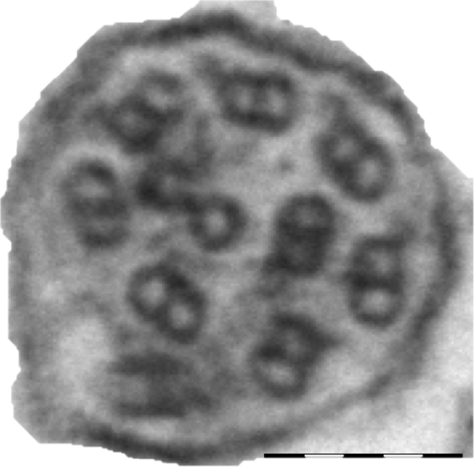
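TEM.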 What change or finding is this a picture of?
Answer: Microtubule defect.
